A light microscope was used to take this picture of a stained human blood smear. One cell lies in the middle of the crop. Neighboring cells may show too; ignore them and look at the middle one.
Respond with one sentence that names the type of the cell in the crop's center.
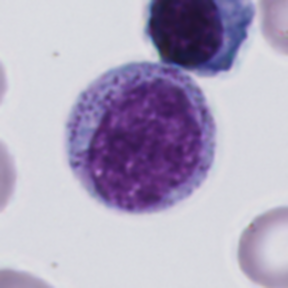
The middle cell in this particular crop is a myelocyte.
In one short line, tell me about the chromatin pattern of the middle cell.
Coarse clumps are absent, and the chromatin is fine throughout.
